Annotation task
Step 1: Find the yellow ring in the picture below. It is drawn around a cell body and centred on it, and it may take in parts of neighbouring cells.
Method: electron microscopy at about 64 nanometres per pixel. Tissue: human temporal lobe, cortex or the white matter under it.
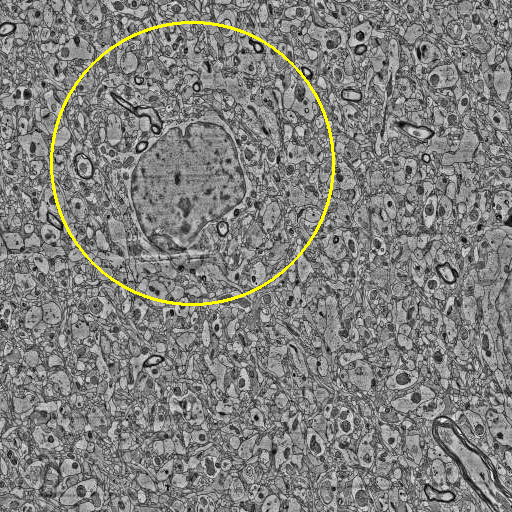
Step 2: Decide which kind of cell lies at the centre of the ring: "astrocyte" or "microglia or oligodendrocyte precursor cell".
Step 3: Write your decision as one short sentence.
The kind of cell at the ring's centre is a microglial cell or oligodendrocyte precursor cell.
